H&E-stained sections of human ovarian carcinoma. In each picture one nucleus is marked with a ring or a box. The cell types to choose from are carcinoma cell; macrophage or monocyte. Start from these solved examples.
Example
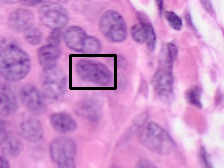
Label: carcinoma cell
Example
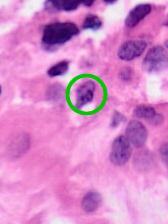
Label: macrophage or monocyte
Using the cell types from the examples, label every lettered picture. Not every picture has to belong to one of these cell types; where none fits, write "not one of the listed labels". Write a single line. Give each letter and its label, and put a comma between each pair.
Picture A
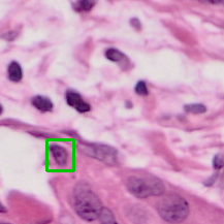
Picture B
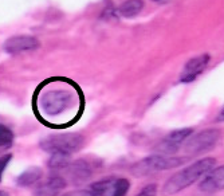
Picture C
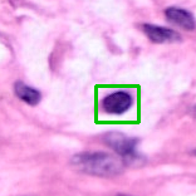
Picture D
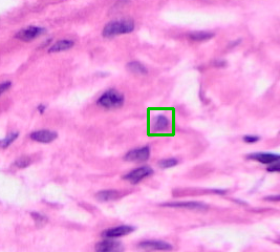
A macrophage or monocyte, B macrophage or monocyte, C macrophage or monocyte, D not one of the listed labels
